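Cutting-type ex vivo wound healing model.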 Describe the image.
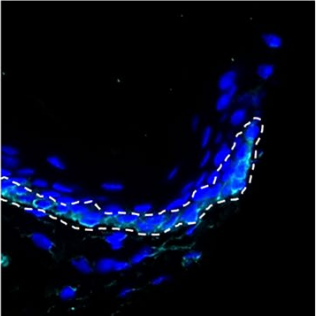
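Curved stratified epidermis with the basal keratinocyte layer outlined by a white dashed line. The basal cells form a single row of closely packed cells with oval blue nuclei and a thin band of cyan staining. Suprabasal cells above have flatter blue nuclei. Below lies loose connective tissue with scattered nuclei.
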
